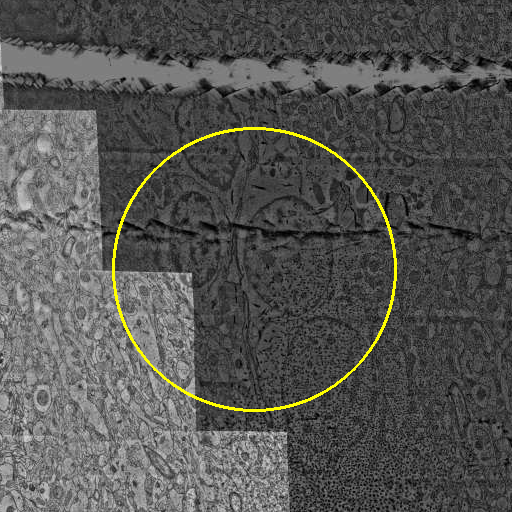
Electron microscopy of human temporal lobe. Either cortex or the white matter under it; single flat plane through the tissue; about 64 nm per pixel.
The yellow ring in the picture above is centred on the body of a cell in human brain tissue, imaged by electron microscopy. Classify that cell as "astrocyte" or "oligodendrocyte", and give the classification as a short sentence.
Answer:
The cell in the middle of the ring is an astrocyte.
